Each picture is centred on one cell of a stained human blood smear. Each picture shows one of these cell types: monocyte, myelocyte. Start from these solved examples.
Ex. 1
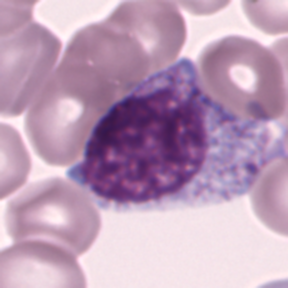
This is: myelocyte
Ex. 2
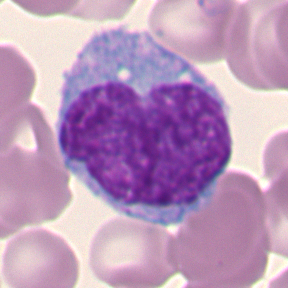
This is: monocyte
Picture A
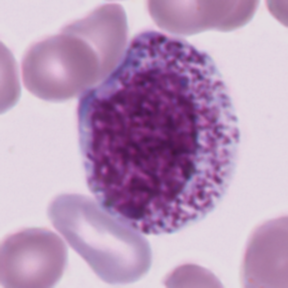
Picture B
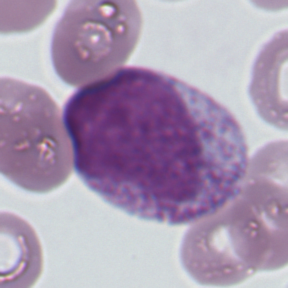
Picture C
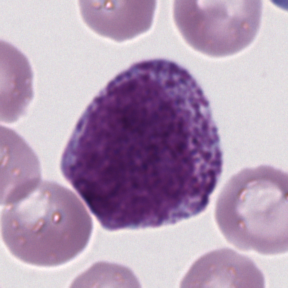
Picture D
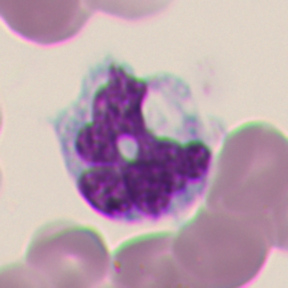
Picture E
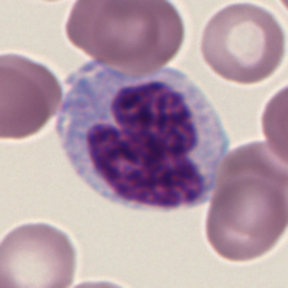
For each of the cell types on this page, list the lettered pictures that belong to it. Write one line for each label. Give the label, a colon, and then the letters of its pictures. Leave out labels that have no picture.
monocyte: D, E
myelocyte: A, B, C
